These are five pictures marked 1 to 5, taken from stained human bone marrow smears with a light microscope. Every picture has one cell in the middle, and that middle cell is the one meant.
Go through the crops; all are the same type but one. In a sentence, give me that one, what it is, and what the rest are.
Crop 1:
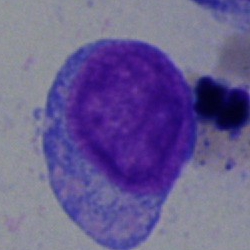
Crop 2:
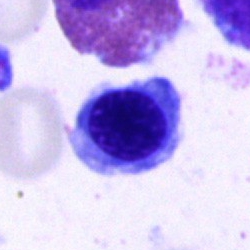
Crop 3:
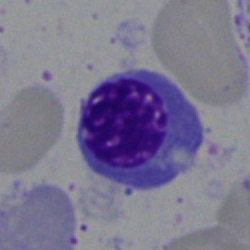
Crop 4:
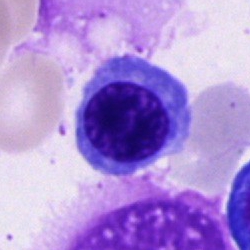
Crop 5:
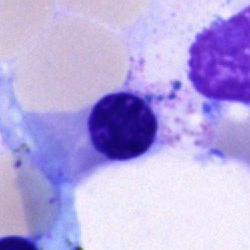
Crop 1 is a blast, unlike the other crops, which all show normoblasts.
